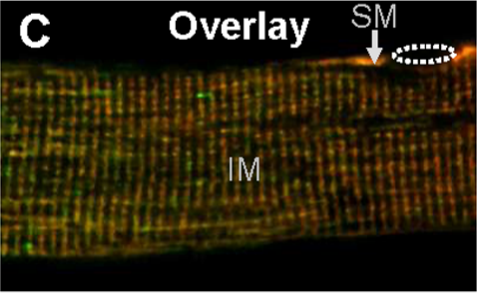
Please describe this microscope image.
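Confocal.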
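This is a single skeletal muscle fiber seen lengthwise, with its mitochondria fluorescing in a mostly yellow-orange colour where red and green coincide. In the interior the intermyofibrillar mitochondria form a highly regular striated pattern: rows of small dots running across the fiber, repeating at short regular intervals along its length, with fainter longitudinal threads linking them into a grid. At the upper edge of the fiber, beside an oval region outlined by a dashed line, a brighter, denser band of subsarcolemmal mitochondria lies just under the surface. A few isolated green specks stand out from the yellow overlap.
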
